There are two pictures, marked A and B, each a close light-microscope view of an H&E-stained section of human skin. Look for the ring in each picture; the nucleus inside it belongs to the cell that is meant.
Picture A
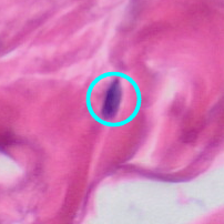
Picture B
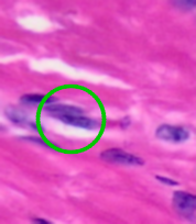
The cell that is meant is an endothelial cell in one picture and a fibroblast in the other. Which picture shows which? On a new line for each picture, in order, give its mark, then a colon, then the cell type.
A: fibroblast
B: endothelial cell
